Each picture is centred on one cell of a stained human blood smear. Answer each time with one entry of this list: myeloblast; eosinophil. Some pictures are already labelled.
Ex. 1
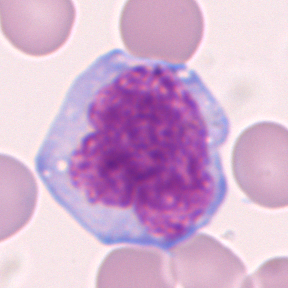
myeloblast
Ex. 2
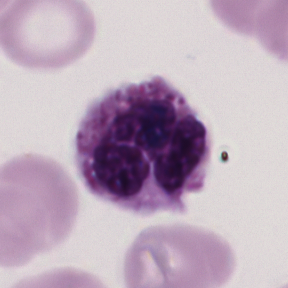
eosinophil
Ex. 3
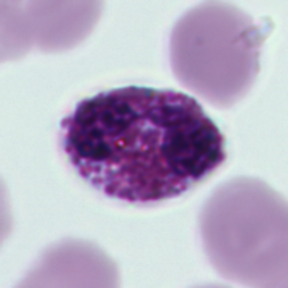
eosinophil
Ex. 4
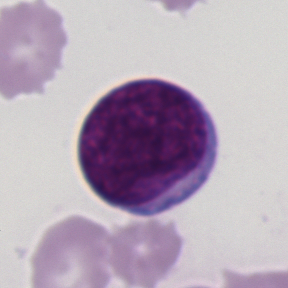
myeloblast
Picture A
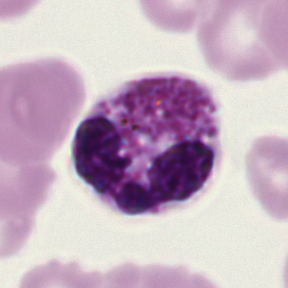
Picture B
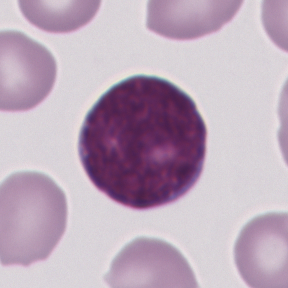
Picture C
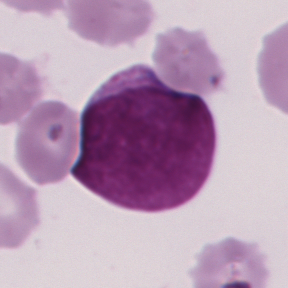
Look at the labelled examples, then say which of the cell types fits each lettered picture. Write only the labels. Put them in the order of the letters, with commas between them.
eosinophil, myeloblast, myeloblast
